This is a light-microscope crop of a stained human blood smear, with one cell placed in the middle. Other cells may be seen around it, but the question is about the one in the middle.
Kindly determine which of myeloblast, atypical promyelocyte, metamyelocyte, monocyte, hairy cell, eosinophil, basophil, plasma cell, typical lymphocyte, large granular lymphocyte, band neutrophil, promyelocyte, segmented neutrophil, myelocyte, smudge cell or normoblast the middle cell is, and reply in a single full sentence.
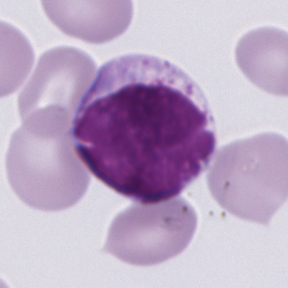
The cell in the middle of this crop is a large granular lymphocyte.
